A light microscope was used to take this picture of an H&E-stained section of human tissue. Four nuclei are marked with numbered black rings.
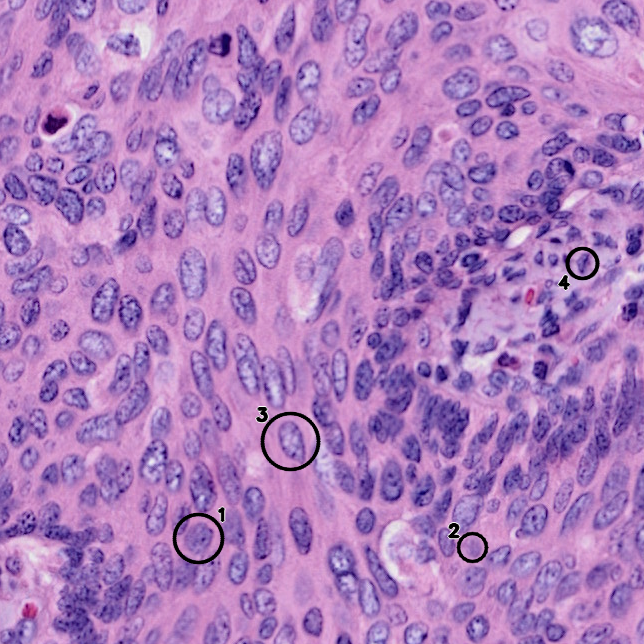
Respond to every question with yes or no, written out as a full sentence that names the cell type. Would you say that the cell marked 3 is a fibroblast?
No, the cell identified by number 3 is a squamous carcinoma cell, not a fibroblast.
